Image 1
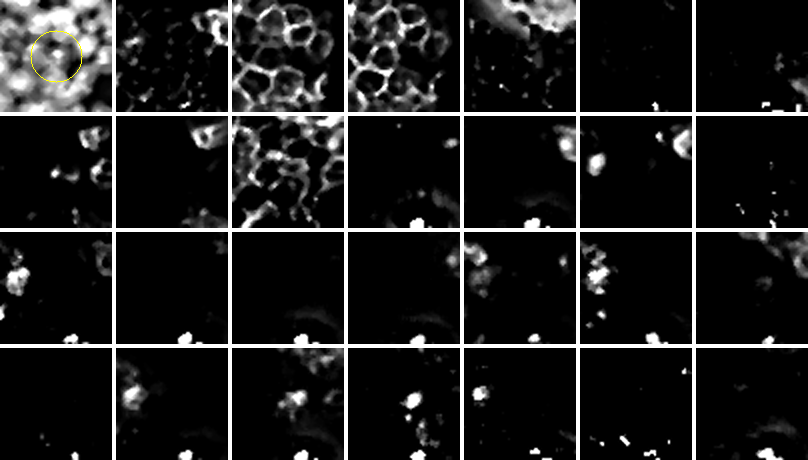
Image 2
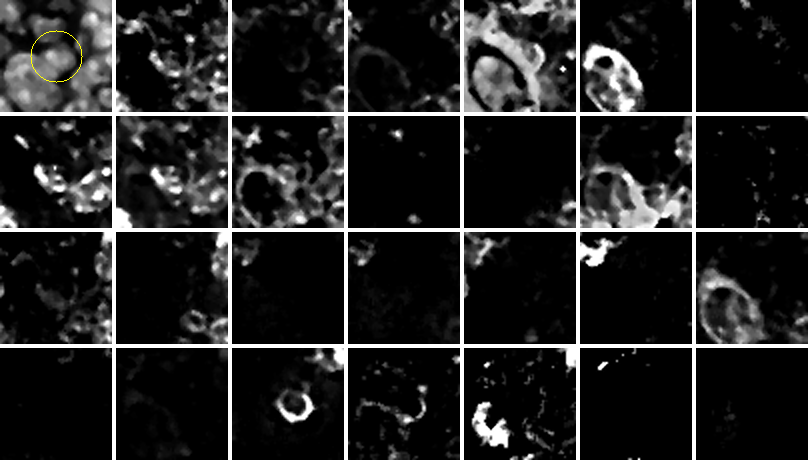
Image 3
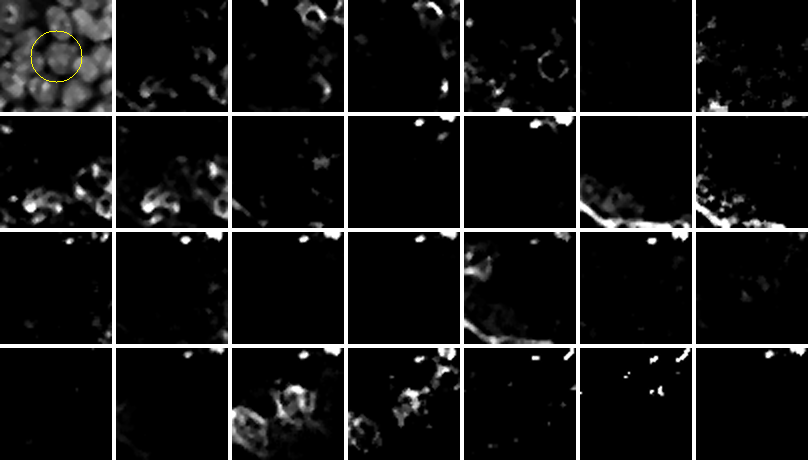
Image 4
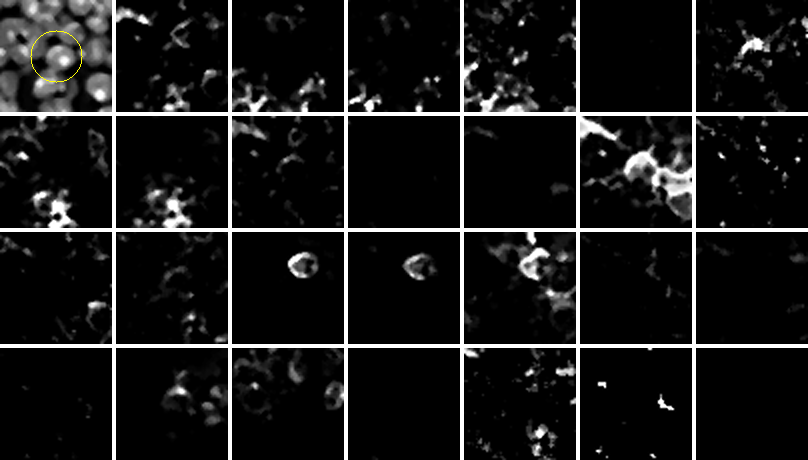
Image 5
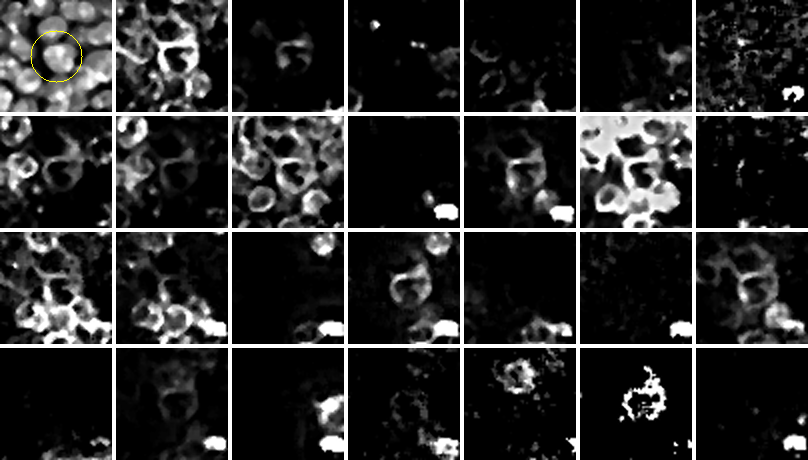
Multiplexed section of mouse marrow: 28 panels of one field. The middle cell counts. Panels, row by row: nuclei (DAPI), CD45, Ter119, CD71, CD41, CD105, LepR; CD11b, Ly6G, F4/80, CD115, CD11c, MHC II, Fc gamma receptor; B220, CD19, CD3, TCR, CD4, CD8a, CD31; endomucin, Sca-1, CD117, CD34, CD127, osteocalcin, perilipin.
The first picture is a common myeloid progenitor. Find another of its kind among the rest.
Picture 3.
